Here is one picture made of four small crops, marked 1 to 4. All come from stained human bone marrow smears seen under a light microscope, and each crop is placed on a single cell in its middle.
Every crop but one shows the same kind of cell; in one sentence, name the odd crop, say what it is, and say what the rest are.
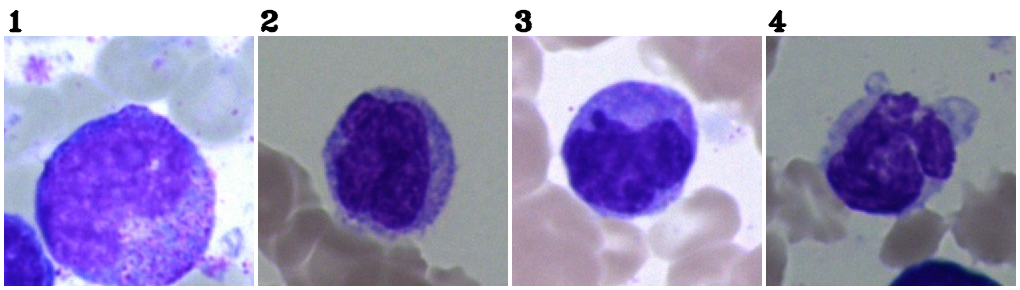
There is a metamyelocyte in crop 1, while all the other crops show monocytes.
